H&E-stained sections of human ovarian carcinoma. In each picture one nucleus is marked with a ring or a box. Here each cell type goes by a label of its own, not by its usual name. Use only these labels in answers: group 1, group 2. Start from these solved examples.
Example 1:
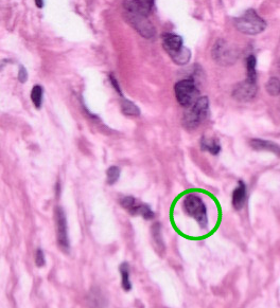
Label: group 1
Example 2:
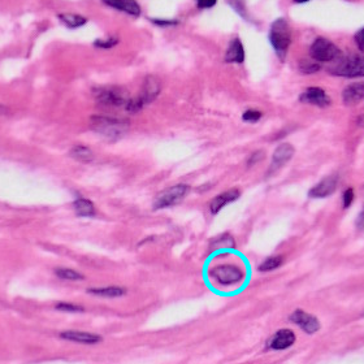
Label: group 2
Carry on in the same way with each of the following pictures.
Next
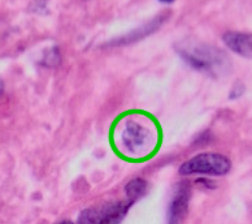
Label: group 1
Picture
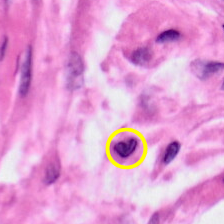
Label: group 1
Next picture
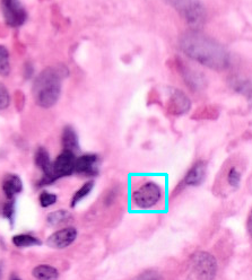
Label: group 1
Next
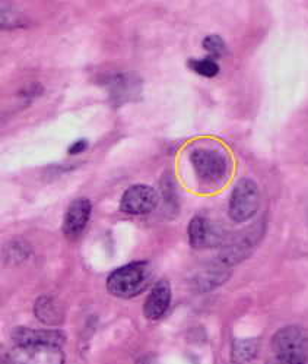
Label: group 1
